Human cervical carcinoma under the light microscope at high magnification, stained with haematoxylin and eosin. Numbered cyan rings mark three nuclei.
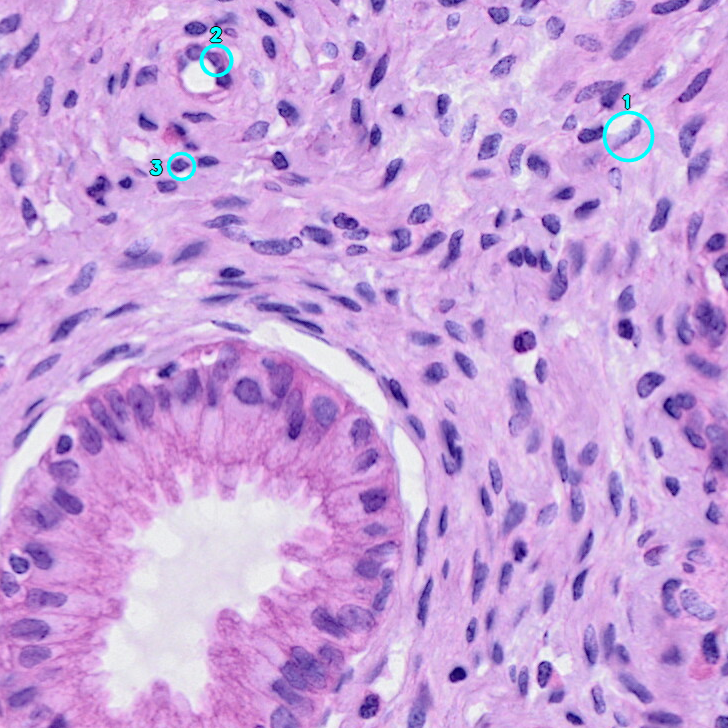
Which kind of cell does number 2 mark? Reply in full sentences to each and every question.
Numbered cell 2 is an endothelial cell in this tissue section.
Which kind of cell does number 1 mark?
The cell tagged with 1 in this tissue section is a fibroblast.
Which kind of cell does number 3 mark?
The nucleus with number 3 is that of a fibroblast.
